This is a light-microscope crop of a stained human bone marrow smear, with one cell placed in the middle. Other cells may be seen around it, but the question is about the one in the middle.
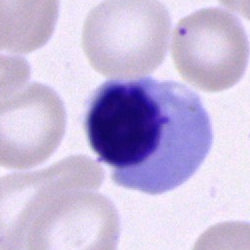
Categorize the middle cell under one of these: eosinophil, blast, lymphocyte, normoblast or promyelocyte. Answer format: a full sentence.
As for the central cell, it is a normoblast.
